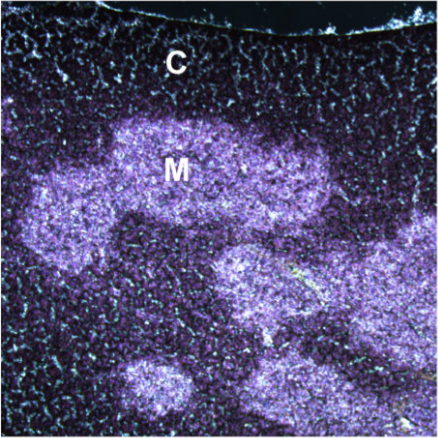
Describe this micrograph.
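A section of thymus shows its lobular organisation, with a dark, densely cellular outer cortex lying beneath the capsule along the top edge. Within it lie several irregular, paler medullary islands of lighter-stained, less densely packed tissue.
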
